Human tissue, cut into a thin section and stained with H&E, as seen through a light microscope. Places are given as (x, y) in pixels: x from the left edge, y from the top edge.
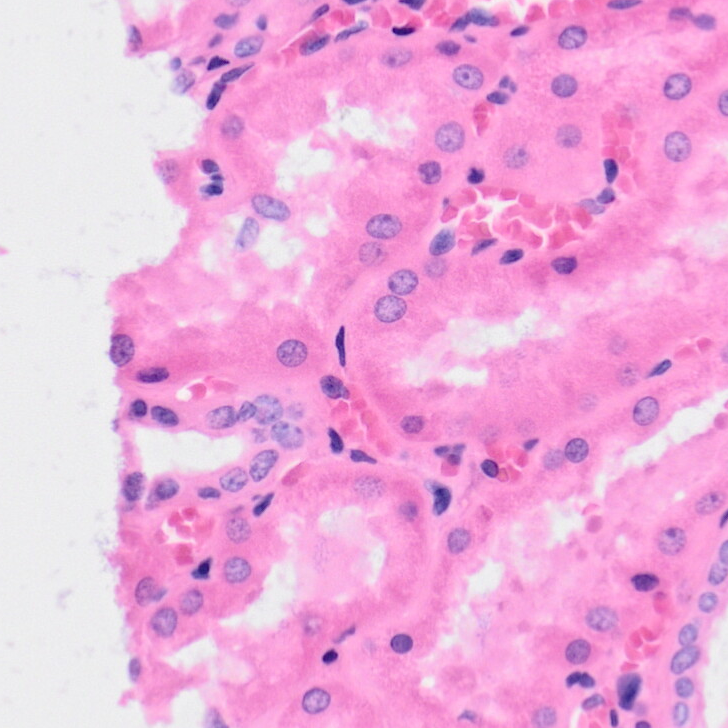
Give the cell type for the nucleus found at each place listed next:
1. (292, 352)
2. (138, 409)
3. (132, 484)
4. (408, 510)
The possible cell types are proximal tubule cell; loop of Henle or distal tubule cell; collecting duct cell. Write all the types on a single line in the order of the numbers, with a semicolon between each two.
proximal tubule cell; collecting duct cell; collecting duct cell; proximal tubule cell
